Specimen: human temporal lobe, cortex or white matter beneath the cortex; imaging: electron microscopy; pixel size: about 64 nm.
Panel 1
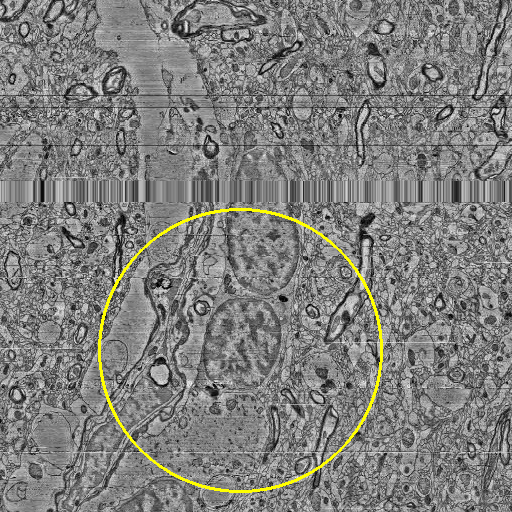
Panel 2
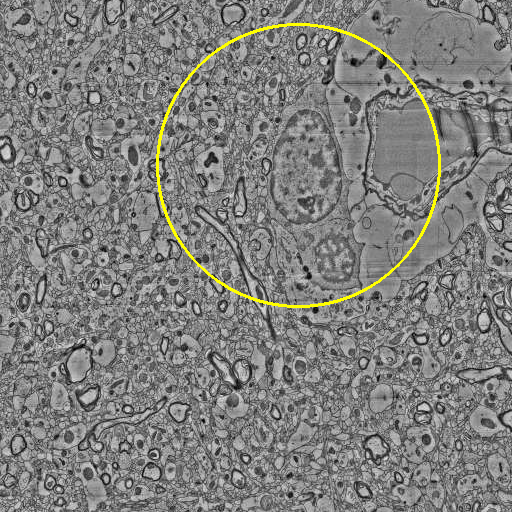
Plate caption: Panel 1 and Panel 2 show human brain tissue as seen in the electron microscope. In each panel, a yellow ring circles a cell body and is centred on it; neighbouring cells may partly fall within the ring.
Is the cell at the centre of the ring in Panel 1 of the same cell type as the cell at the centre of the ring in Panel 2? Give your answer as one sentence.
Yes, the two cells are of the same type.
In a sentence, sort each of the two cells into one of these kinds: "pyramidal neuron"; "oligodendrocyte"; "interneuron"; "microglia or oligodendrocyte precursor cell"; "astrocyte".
The ring centre holds an oligodendrocyte in each of the two pictures.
